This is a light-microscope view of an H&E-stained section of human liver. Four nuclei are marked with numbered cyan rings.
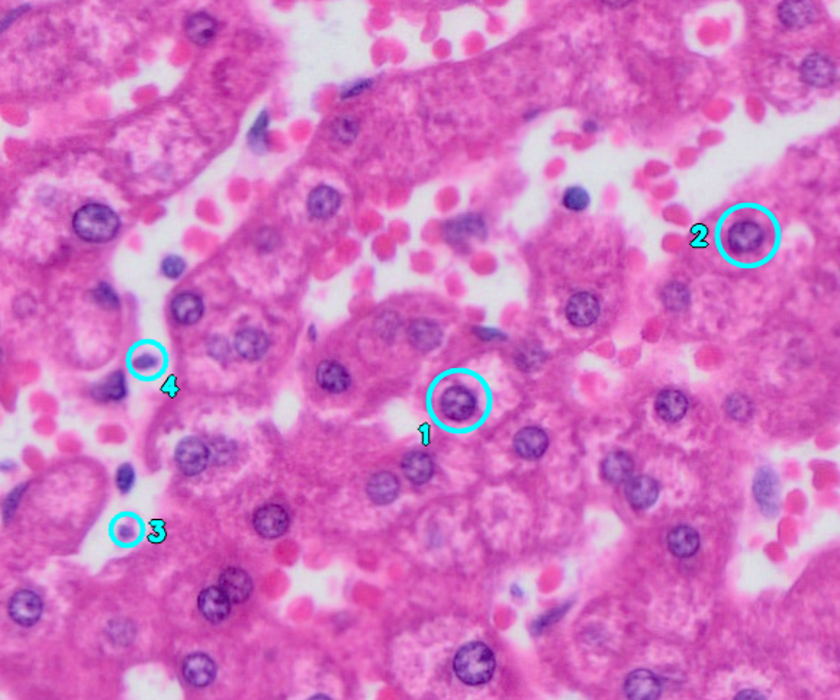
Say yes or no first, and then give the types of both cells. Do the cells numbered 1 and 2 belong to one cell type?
Yes, cell 1 and likewise cell 2 are hepatocytes.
